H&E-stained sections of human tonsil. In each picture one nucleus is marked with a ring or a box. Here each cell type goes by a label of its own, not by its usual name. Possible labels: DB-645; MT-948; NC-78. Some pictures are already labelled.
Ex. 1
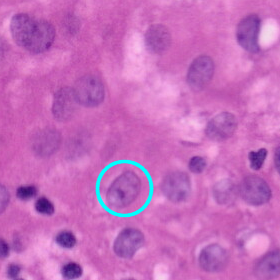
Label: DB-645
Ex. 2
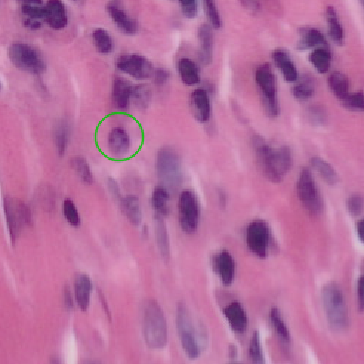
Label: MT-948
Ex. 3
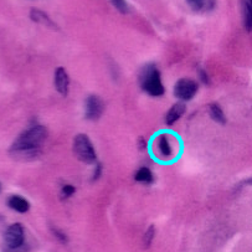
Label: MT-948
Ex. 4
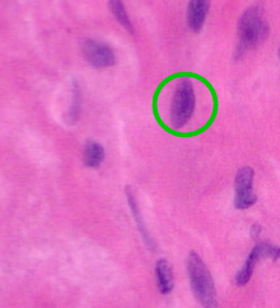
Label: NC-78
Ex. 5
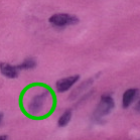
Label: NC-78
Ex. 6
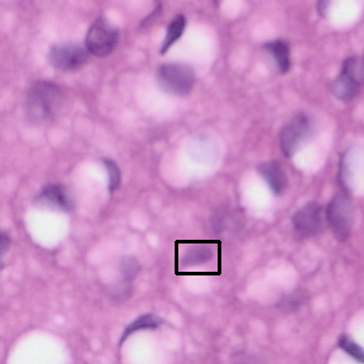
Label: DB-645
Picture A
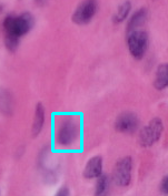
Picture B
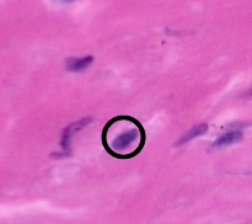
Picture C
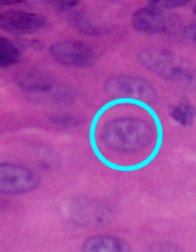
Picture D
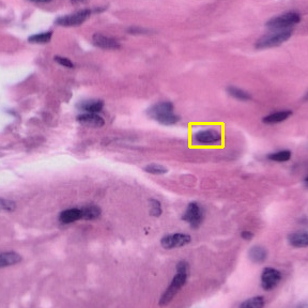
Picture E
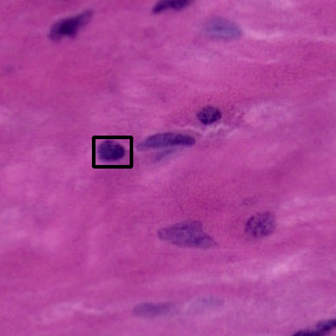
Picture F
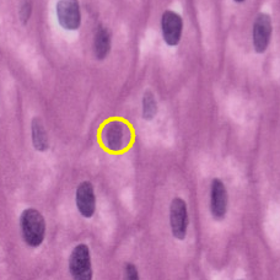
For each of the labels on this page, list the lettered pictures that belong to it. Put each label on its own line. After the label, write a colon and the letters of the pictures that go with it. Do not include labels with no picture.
DB-645: C, F
MT-948: B, D, E
NC-78: A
